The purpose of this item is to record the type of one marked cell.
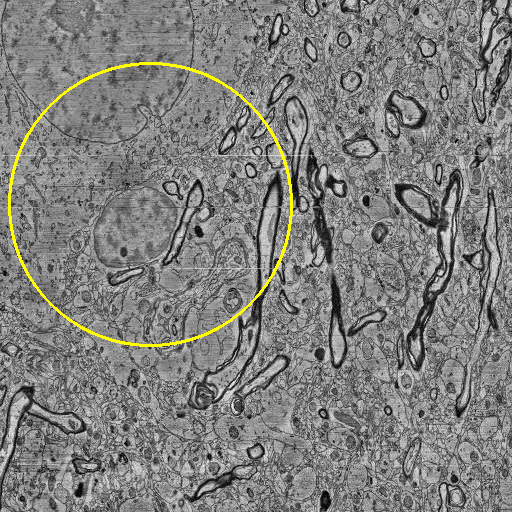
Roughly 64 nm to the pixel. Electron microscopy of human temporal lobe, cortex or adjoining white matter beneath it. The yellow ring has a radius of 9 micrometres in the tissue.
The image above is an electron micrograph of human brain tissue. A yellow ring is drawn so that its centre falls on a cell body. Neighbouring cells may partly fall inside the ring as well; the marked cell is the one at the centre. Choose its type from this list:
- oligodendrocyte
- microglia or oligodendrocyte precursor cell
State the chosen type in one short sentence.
What the ring marks here is an oligodendrocyte.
